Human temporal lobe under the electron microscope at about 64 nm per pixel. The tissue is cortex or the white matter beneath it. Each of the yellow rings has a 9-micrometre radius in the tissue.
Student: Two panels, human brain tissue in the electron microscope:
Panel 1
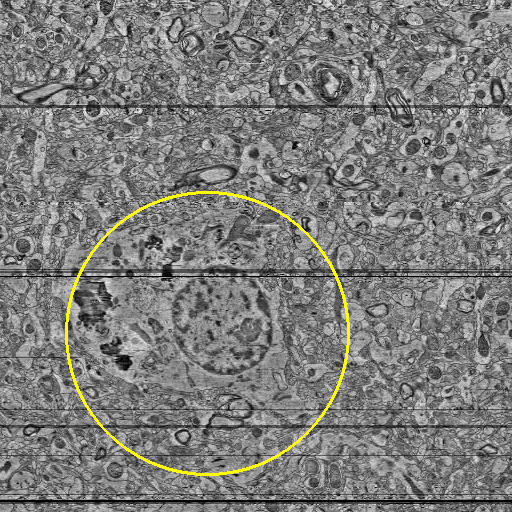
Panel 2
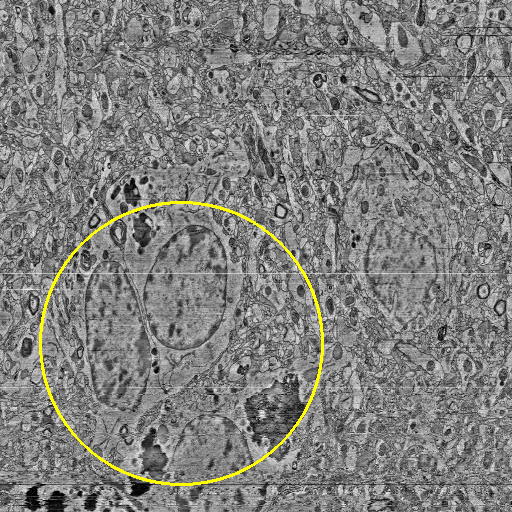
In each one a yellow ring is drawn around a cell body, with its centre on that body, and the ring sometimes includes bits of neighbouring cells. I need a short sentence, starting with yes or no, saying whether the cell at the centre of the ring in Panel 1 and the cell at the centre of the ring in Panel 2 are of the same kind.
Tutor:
Yes, they are the same kind of cell.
